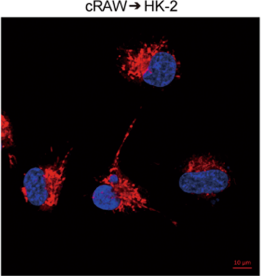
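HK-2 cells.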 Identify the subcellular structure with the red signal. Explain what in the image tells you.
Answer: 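Red signal forms threads and small granules in the cytoplasm. The red network clusters around the blue nuclei and extends into cell processes.
Hence: Mitochondria.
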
